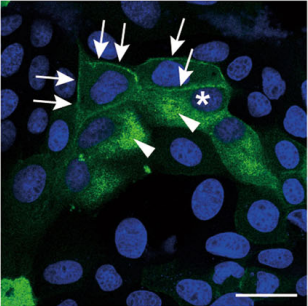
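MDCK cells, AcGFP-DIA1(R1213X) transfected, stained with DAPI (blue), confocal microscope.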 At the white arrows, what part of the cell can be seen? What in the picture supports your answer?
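Plasma membranes. The arrows point to thin green lines along the borders between neighbouring cells. The green lines outline the edges of the cells.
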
